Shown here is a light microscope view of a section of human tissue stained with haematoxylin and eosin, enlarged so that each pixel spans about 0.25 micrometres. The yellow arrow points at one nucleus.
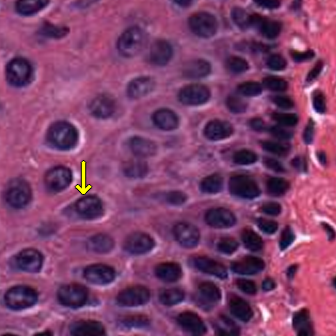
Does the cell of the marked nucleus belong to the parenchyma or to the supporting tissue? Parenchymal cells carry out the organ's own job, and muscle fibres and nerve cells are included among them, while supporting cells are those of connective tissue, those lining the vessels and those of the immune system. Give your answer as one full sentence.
On this slide the marked nucleus belongs to a parenchymal cell, namely a squamous epithelial cell.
